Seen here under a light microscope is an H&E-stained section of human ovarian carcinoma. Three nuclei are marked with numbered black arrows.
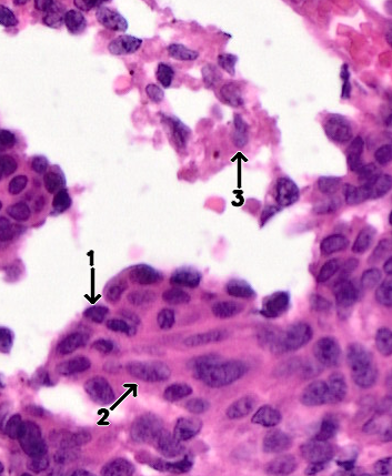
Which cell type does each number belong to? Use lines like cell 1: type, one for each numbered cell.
cell 1: carcinoma cell
cell 2: carcinoma cell
cell 3: macrophage or monocyte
